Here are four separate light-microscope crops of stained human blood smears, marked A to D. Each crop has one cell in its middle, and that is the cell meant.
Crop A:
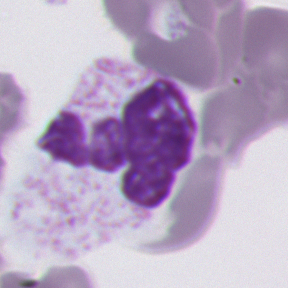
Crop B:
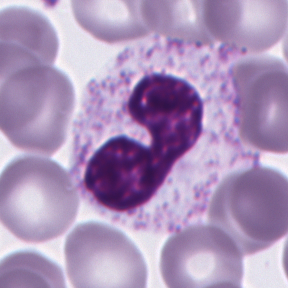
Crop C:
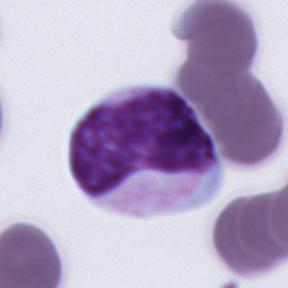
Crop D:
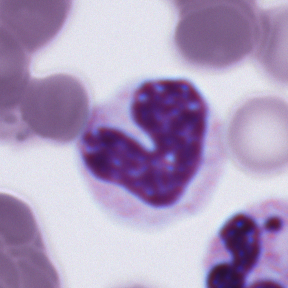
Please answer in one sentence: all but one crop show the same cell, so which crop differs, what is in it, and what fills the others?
Here the outlier is crop C, which is a band neutrophil, and the rest are segmented neutrophils.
